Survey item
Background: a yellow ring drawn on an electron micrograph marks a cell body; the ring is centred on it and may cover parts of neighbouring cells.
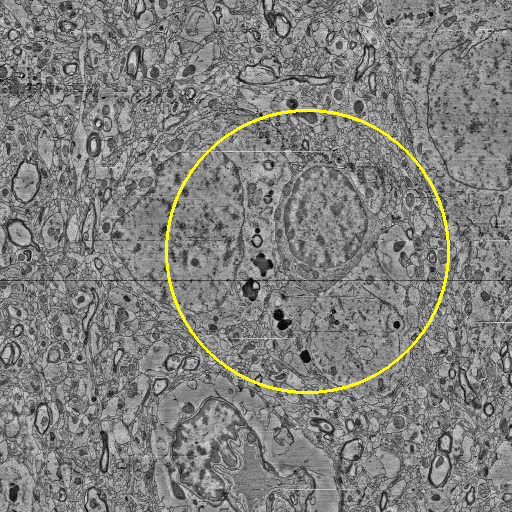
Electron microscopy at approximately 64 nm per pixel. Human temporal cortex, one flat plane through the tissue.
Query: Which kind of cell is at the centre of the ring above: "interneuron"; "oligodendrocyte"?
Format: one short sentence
The cell in the middle of the ring is an oligodendrocyte.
